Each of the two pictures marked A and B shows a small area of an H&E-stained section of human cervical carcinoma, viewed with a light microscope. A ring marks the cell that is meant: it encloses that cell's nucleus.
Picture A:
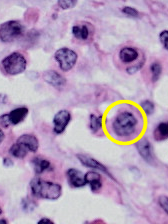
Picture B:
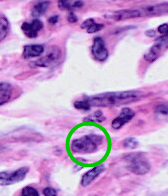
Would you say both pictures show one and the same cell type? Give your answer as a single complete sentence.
Yes, both cells are “macrophages or monocytes”.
